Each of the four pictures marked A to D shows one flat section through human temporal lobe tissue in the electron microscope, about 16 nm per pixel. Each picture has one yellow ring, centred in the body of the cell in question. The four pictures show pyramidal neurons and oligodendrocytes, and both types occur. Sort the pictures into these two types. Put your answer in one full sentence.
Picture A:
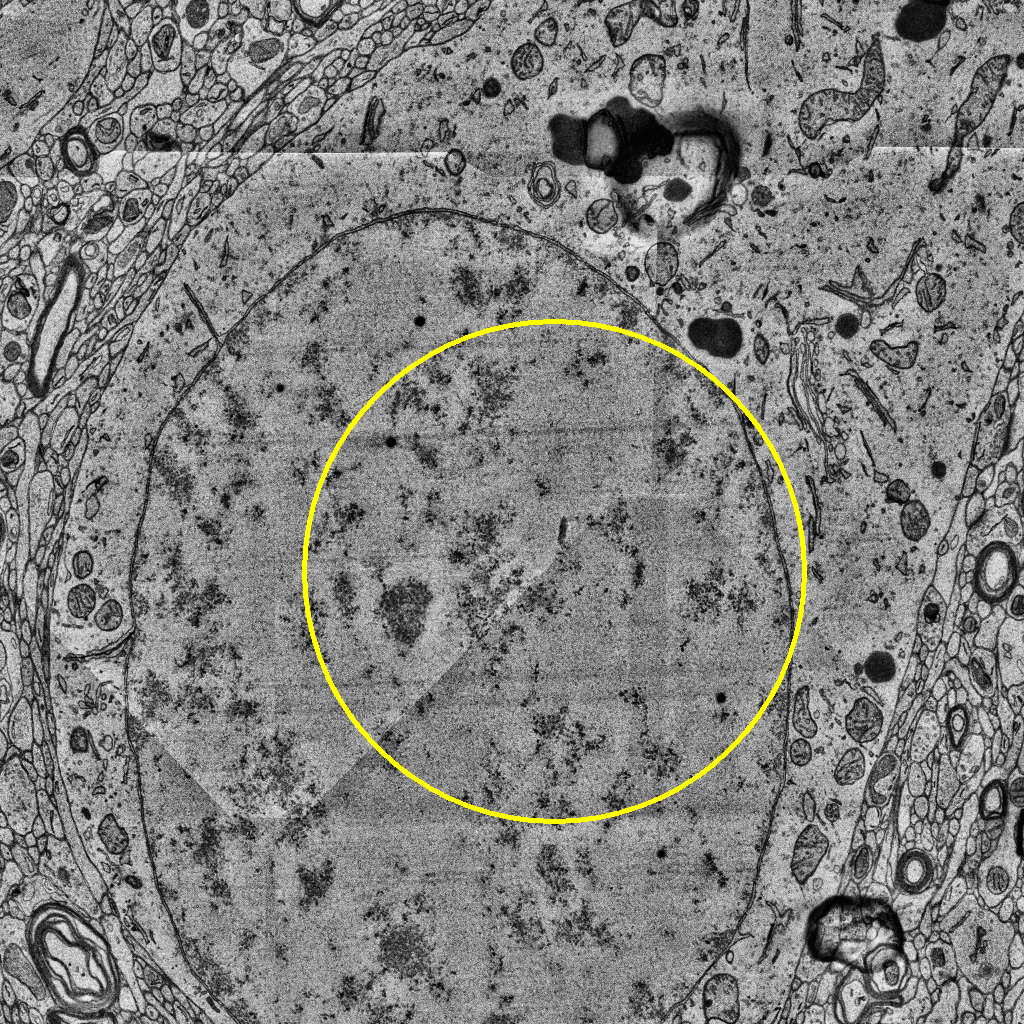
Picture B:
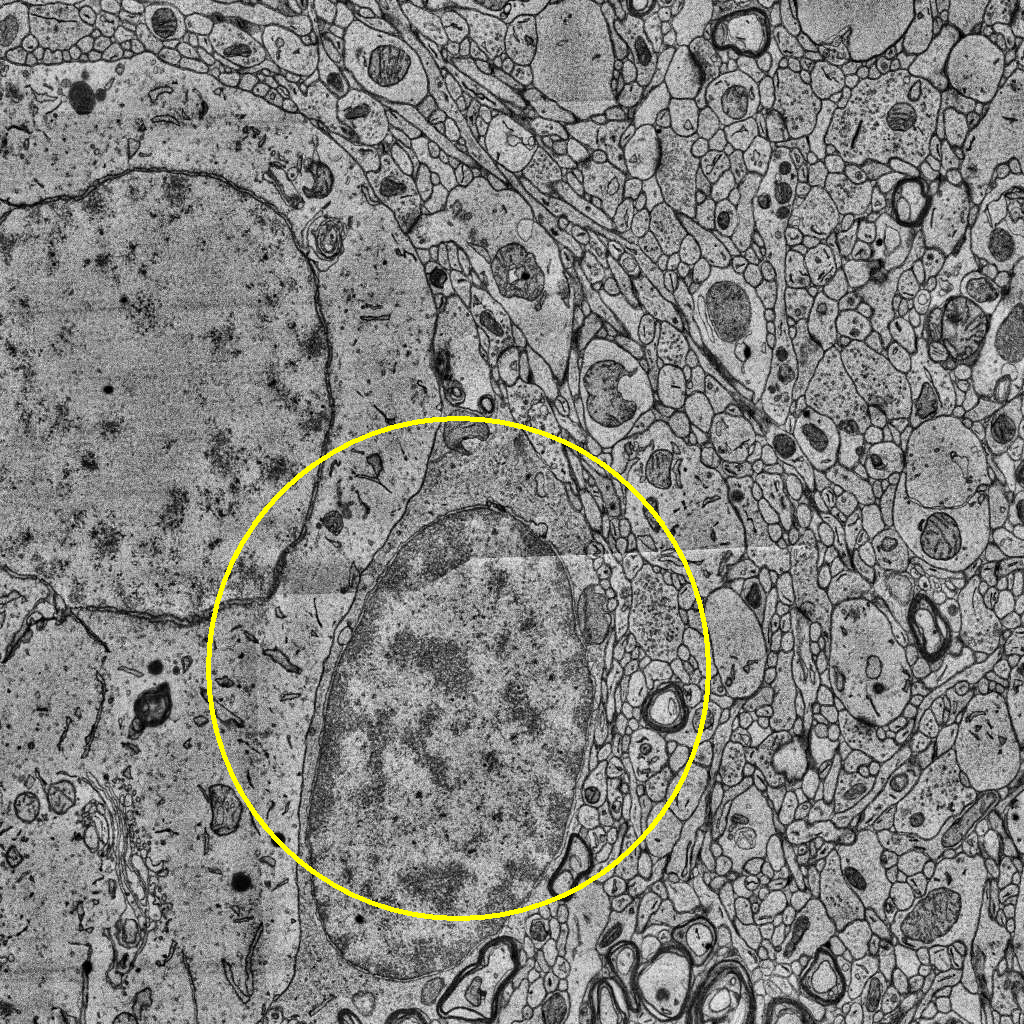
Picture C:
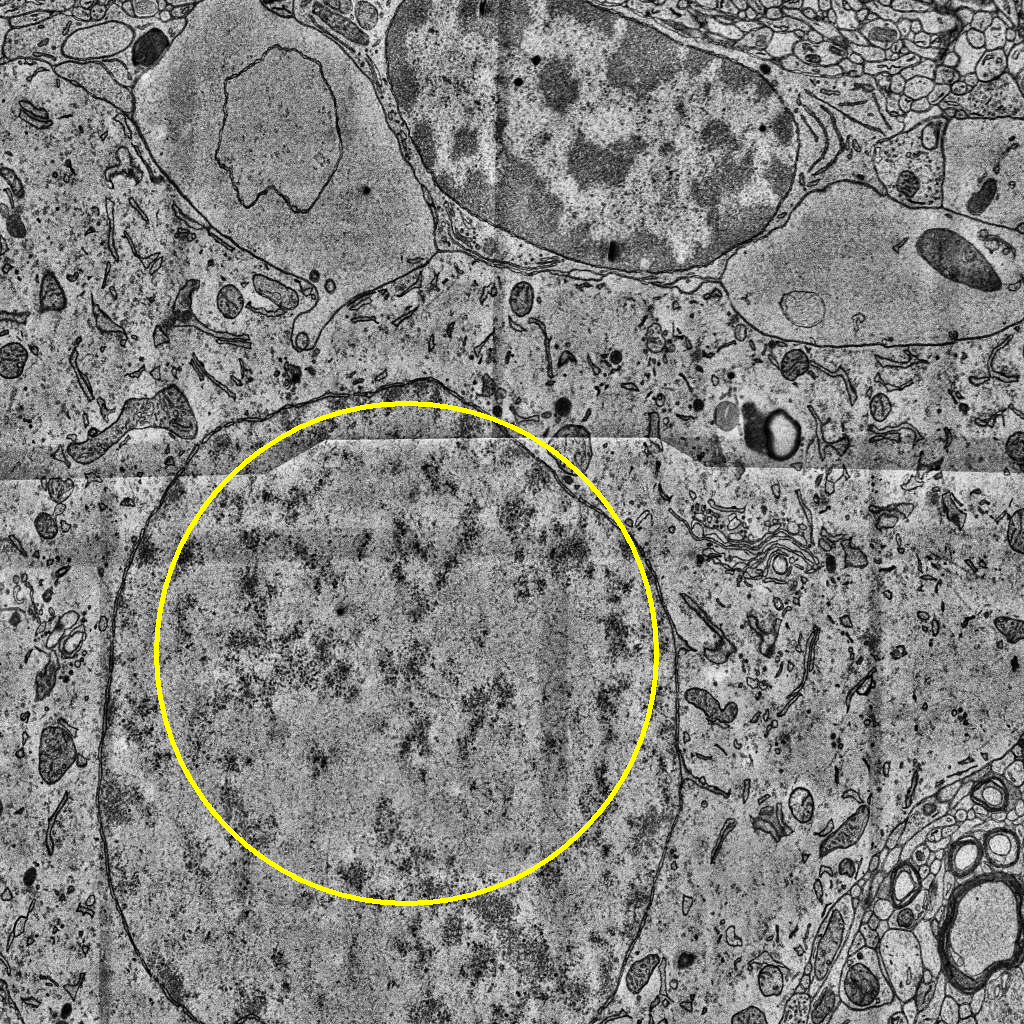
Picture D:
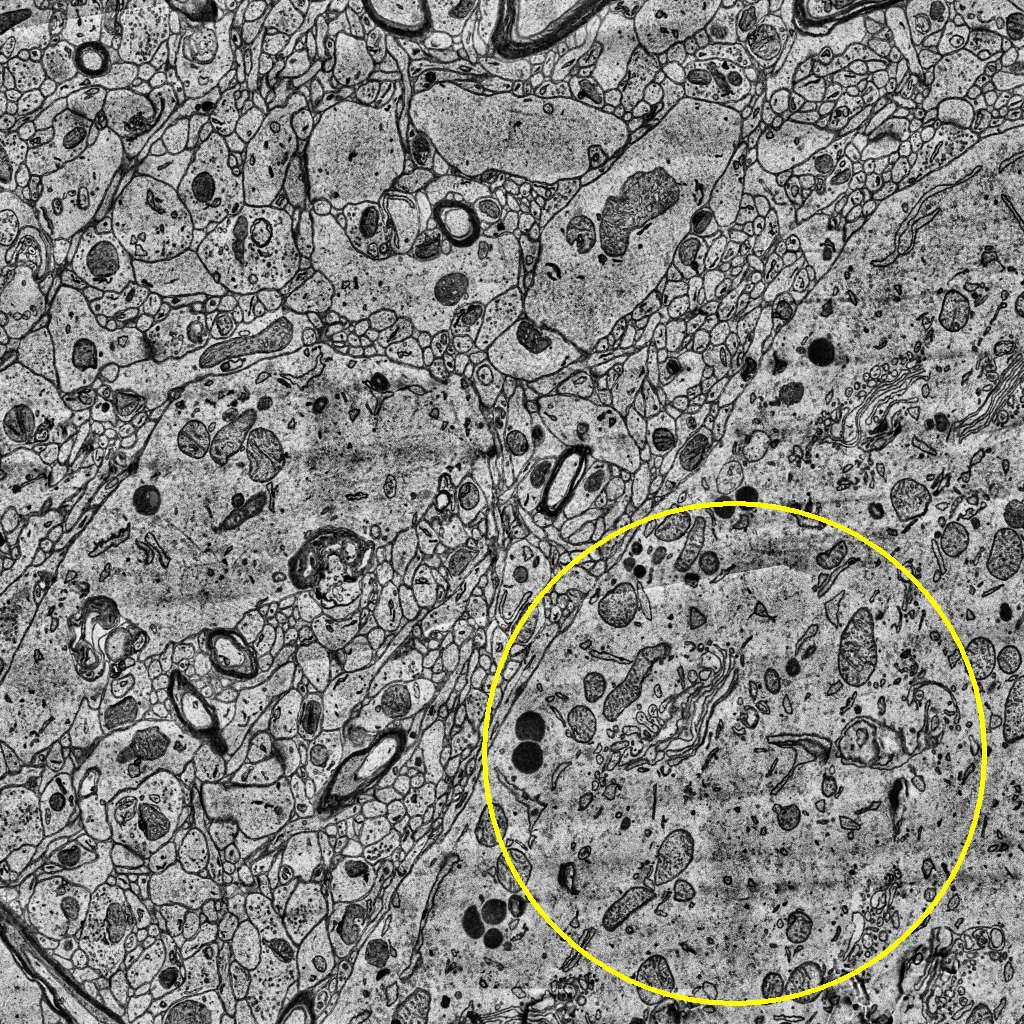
Pictures A, C and D show pyramidal neurons; picture B shows an oligodendrocyte.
